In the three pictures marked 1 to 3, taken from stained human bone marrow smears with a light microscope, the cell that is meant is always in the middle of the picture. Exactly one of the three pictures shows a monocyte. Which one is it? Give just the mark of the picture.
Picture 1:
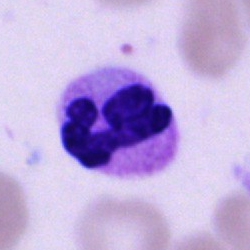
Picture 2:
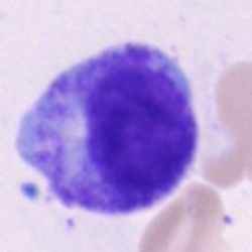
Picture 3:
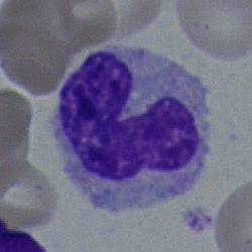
3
